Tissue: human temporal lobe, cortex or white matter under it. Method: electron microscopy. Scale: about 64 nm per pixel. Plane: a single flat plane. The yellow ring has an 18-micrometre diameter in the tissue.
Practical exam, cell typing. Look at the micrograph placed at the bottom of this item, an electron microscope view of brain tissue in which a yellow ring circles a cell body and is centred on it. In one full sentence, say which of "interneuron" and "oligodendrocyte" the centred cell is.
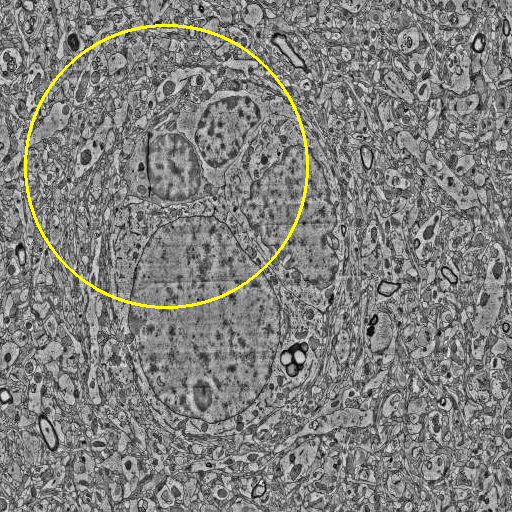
Given the options, an oligodendrocyte fits the cell whose body the yellow ring is centred on.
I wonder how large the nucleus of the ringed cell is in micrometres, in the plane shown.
The nucleus is approximately 4 micrometers across in this plane.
